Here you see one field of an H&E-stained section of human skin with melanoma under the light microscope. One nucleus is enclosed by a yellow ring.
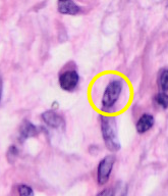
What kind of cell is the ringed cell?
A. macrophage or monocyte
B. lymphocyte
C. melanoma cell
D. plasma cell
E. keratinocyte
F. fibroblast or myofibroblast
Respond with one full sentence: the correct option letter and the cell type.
Option D names the ringed cell correctly as a plasma cell.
